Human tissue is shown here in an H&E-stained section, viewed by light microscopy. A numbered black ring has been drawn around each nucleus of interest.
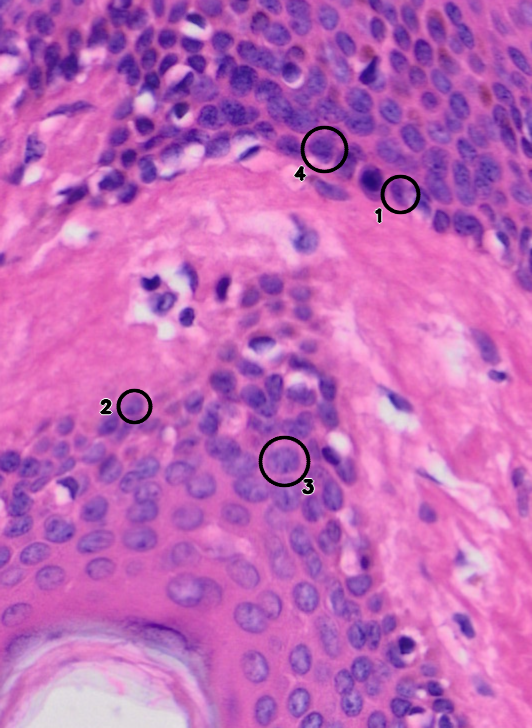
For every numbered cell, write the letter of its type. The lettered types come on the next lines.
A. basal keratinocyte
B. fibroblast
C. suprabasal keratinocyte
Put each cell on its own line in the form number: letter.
1: A
2: A
3: C
4: A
